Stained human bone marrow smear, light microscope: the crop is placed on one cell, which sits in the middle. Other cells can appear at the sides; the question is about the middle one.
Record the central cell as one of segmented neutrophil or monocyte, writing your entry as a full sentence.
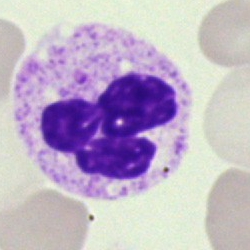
The cell in the exact centre of the crop is a segmented neutrophil.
